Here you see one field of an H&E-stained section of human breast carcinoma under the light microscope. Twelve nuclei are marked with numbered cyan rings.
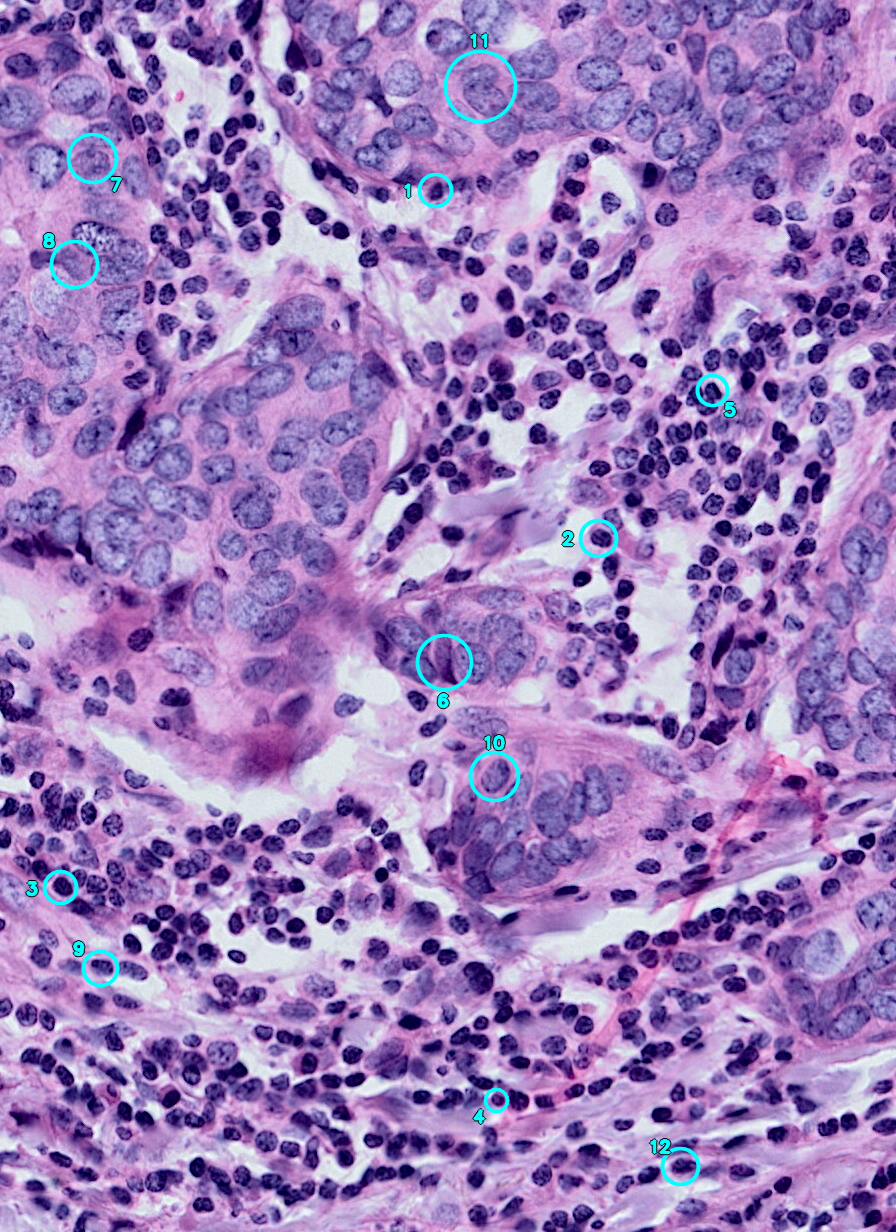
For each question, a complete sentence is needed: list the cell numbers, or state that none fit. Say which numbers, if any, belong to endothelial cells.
It is true of every numbered cell that it is not one of the endothelial cells.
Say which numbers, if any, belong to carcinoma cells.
As for the cells numbered 6, 7, 8, 10 and 11, they are carcinoma cells.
